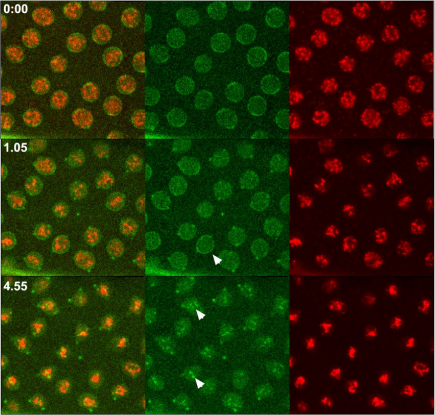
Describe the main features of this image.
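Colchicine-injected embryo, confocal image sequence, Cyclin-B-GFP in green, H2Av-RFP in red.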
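At first the red chromatin is granular within round nuclei and the green marks the nuclear outlines. Later the chromatin becomes more condensed and bright green rings sit at the nuclear rim. In the last frame the nuclei hold clumps of condensed chromosomes with small bright green dots beside them, and no elongated spindle shapes form.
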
